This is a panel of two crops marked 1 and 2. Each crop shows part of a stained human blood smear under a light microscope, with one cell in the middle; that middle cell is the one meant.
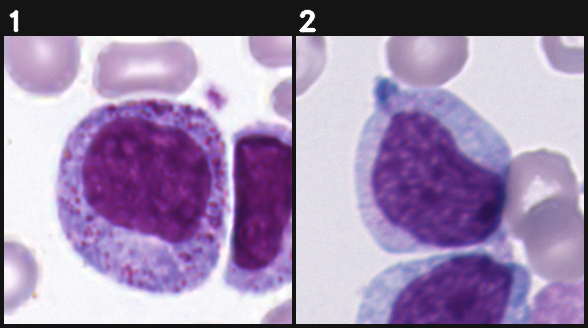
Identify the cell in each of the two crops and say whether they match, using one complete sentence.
Yes, both crops show promyelocytes, to put it briefly.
